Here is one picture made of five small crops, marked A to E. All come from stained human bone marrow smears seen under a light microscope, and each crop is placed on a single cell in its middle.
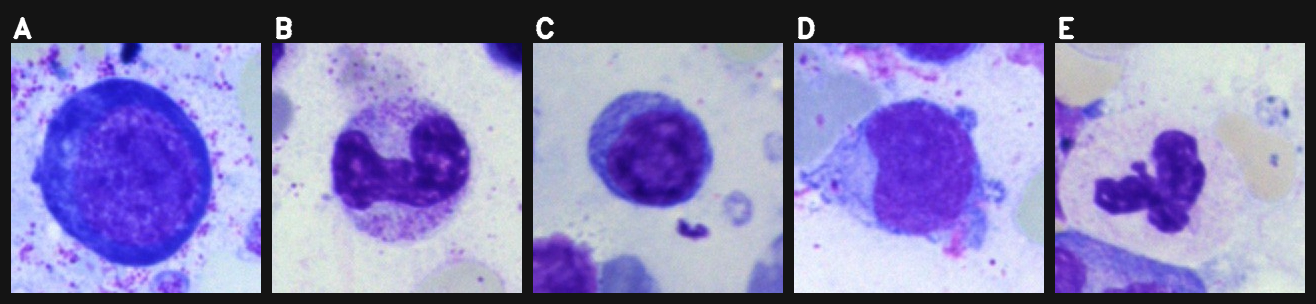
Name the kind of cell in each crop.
A: proerythroblast
B: band neutrophil
C: lymphocyte
D: hairy cell
E: segmented neutrophil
